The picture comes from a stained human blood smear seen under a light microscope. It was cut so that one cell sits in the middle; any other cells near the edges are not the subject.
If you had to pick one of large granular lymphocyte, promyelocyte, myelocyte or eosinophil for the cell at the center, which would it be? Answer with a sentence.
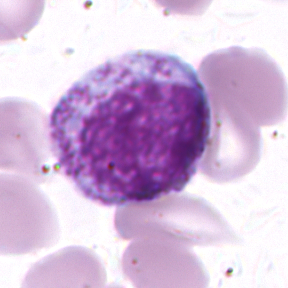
At the middle of the frame sits a myelocyte.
